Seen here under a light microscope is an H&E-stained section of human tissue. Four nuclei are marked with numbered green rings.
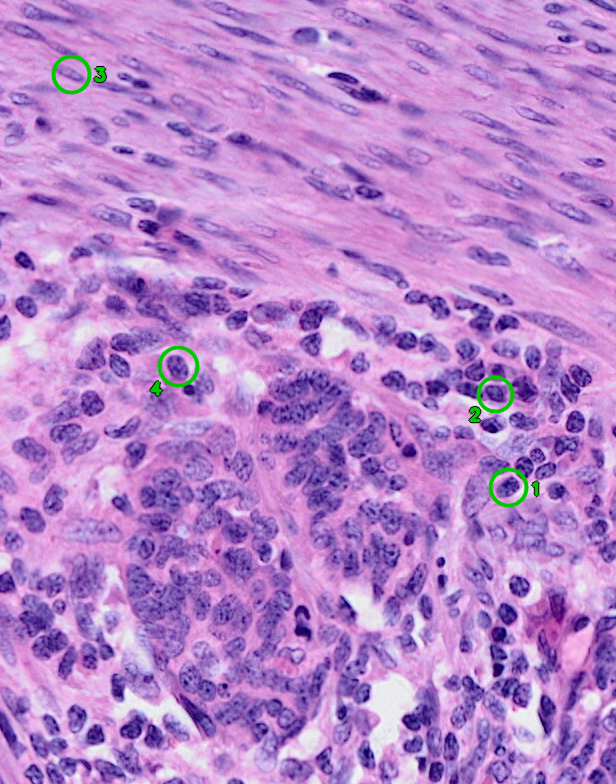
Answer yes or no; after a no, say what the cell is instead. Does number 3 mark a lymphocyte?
No, it is a smooth muscle cell.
